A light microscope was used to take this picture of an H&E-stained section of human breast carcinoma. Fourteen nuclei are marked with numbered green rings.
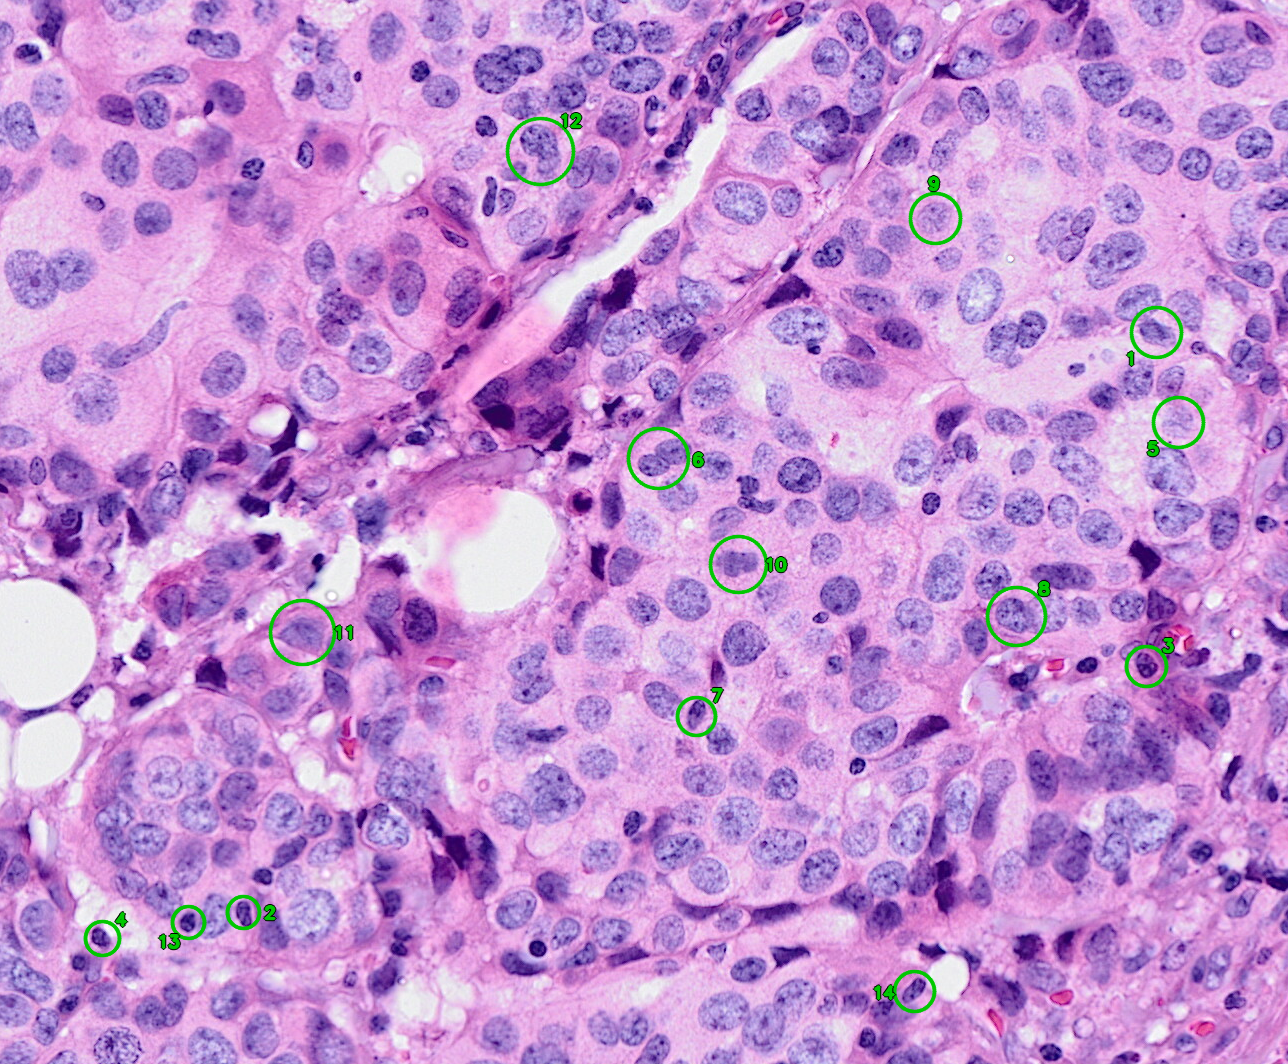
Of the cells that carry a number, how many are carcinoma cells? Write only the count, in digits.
8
